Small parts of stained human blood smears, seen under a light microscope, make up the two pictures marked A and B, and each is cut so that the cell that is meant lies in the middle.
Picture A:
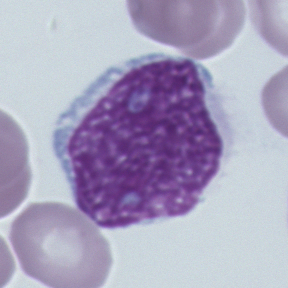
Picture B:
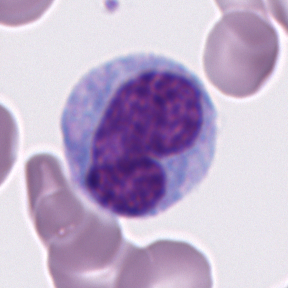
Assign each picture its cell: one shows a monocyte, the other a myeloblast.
A: myeloblast
B: monocyte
